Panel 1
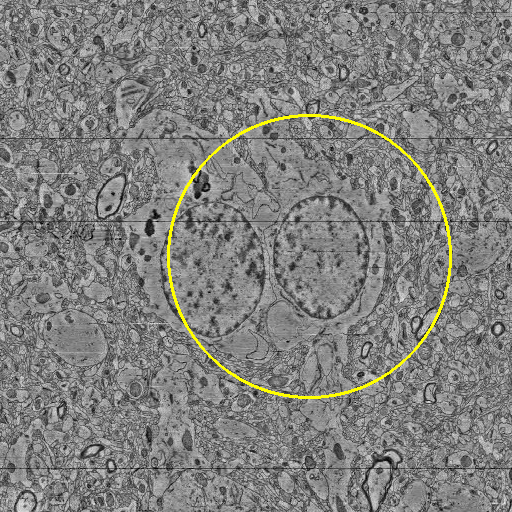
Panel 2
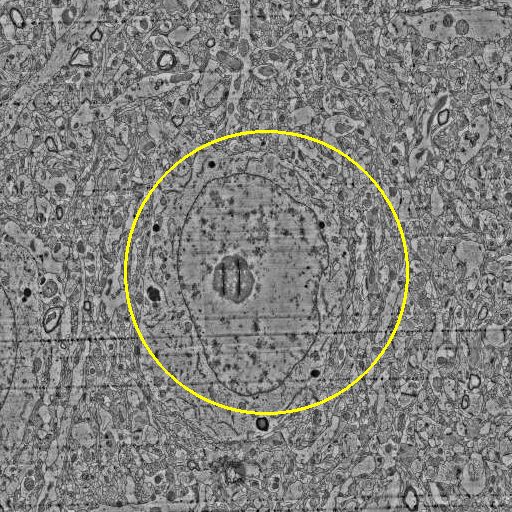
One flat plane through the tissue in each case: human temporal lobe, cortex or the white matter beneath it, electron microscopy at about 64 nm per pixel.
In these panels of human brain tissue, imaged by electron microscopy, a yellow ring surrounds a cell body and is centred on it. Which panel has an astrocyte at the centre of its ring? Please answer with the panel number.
1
